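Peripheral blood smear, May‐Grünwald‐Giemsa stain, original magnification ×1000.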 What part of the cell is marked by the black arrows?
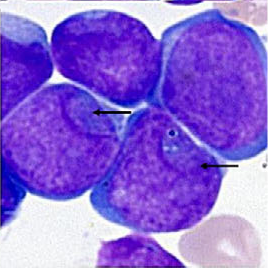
Nuclear invagination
